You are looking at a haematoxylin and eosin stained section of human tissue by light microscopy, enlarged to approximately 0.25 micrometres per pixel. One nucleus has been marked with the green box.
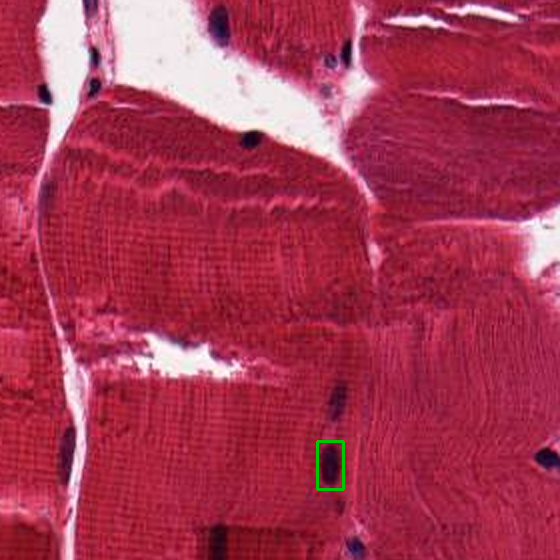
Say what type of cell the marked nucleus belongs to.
skeletal muscle fibre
